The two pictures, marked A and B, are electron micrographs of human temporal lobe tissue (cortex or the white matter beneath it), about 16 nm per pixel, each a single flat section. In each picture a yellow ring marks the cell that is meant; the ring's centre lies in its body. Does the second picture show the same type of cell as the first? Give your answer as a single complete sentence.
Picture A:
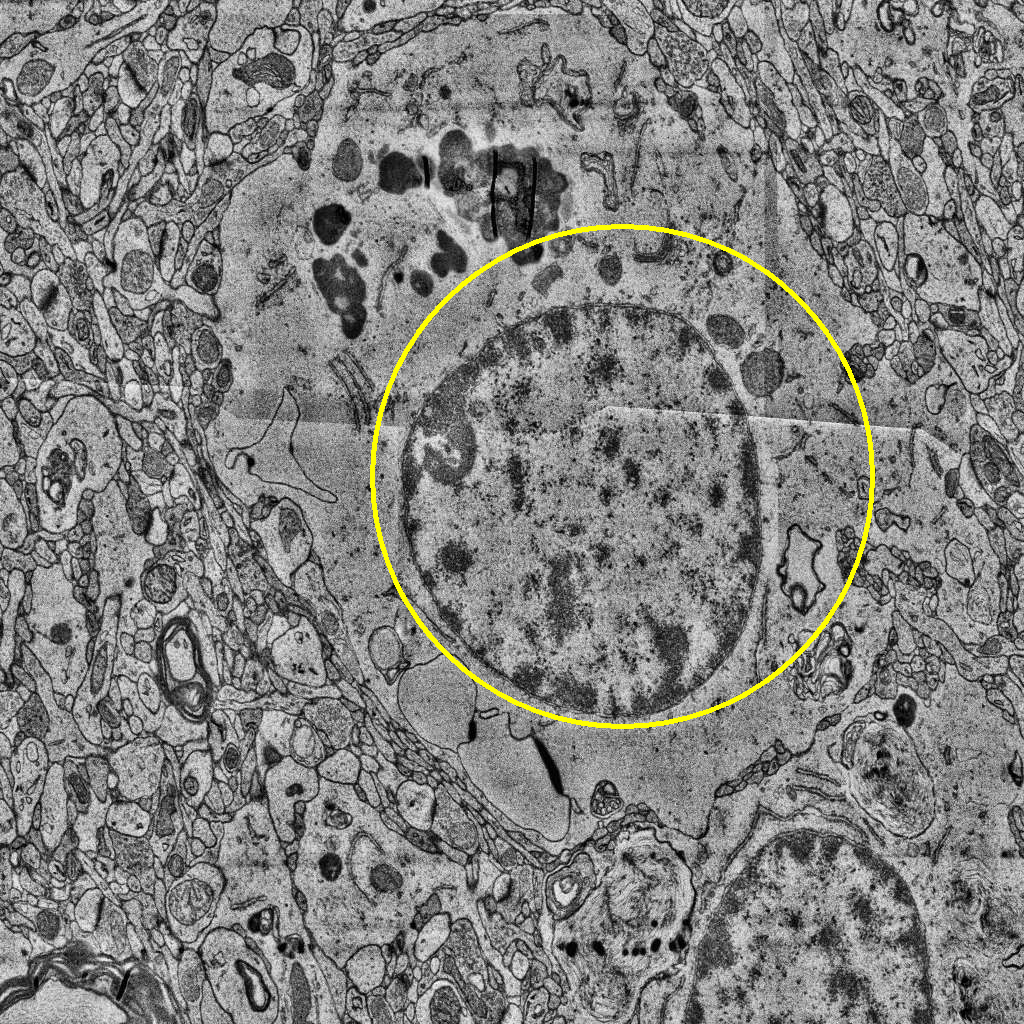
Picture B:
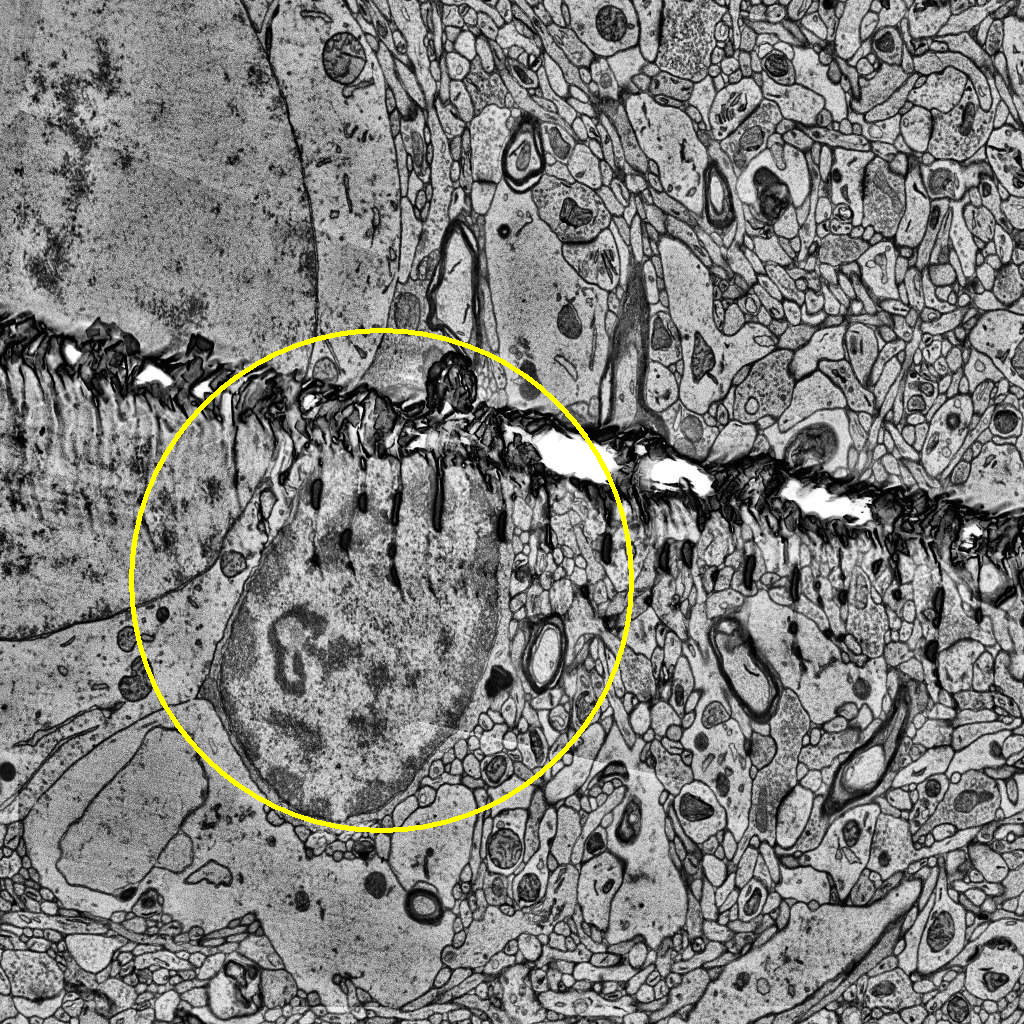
No. Picture A shows an astrocyte, but picture B shows an oligodendrocyte.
